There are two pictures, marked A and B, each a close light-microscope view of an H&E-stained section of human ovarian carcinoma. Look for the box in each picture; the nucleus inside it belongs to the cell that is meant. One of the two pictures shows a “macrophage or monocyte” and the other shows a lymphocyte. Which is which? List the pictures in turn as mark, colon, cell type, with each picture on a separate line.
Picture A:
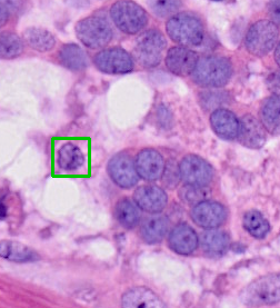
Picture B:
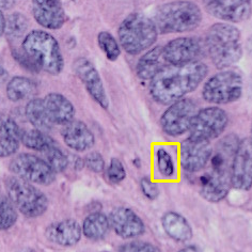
A: macrophage or monocyte
B: lymphocyte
